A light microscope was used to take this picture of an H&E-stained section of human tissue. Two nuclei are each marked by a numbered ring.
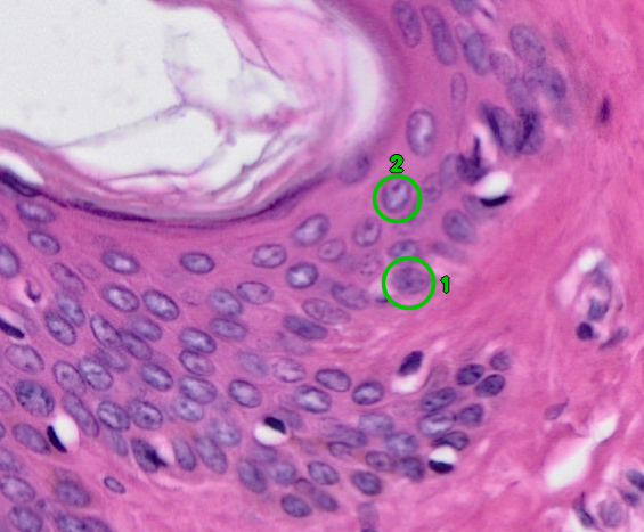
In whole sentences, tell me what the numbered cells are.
Cell 1 is a basal keratinocyte. Cell 2 is a suprabasal keratinocyte.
